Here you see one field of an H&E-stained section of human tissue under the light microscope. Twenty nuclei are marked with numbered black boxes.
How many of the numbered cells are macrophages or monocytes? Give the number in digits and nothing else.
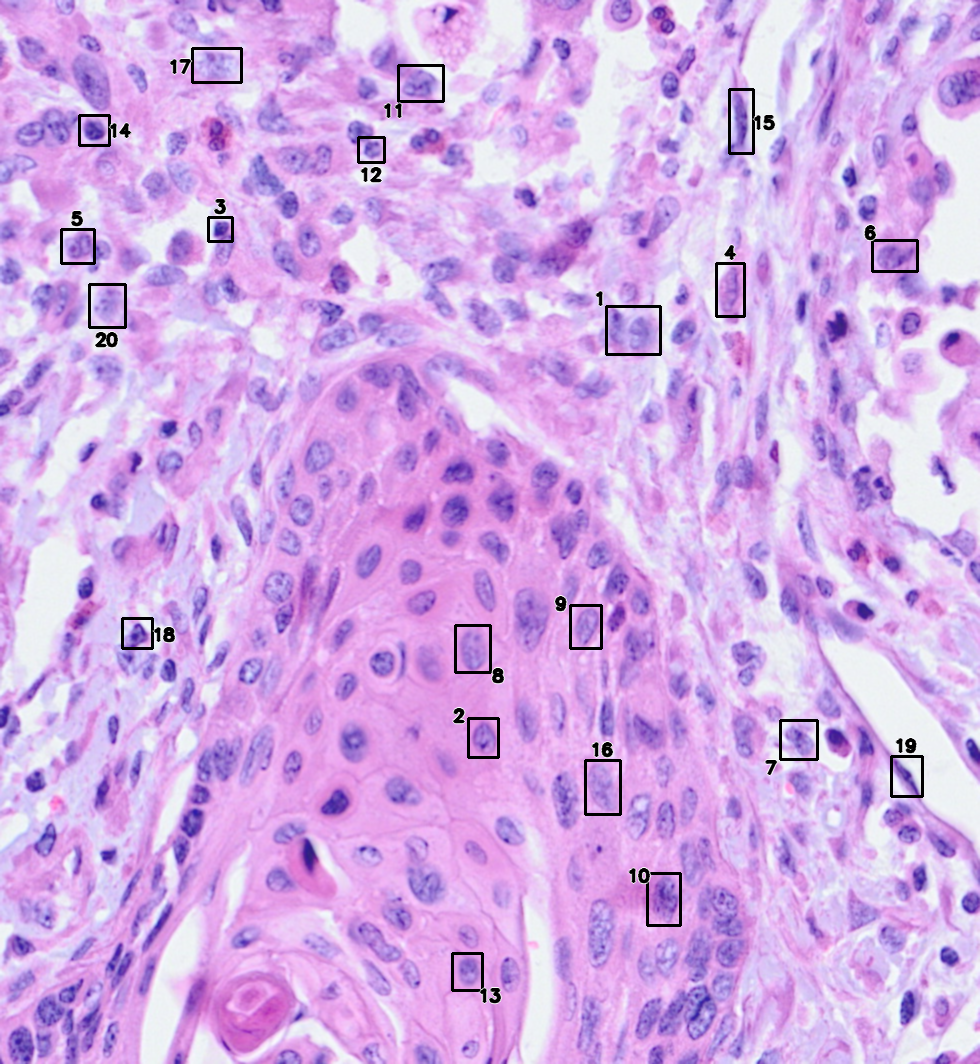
5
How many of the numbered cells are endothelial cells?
1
